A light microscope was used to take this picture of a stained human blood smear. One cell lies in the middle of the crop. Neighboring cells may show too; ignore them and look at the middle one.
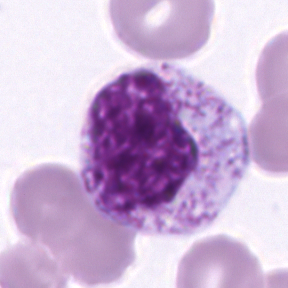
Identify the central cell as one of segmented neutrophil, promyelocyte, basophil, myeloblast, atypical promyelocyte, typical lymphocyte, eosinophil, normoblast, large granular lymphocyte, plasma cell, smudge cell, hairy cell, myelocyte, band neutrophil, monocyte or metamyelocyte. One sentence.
Occupying the centre of the crop is a metamyelocyte.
